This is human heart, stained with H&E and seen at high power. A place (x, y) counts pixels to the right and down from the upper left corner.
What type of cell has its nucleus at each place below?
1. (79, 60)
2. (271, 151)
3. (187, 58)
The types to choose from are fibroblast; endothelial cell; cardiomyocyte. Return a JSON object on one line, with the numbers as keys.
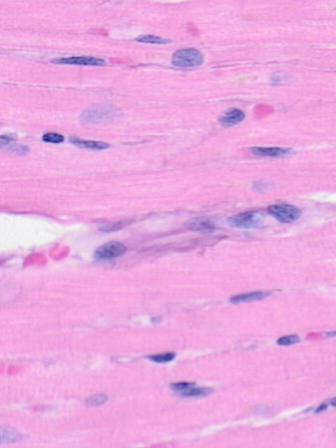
{"1": "endothelial cell", "2": "endothelial cell", "3": "cardiomyocyte"}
